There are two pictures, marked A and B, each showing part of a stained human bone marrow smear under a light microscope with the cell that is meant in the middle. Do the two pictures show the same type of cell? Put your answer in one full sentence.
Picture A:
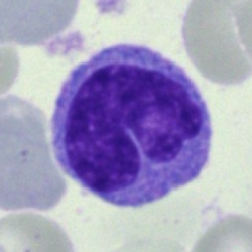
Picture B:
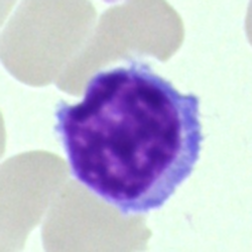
No. Picture A shows a monocyte, but picture B shows a lymphocyte.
